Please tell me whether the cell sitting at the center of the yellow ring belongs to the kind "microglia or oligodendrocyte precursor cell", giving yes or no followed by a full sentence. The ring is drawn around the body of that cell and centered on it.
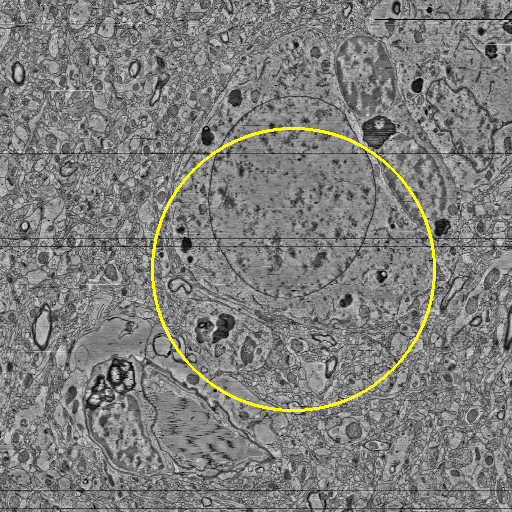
No, the cell at the center of the ring in the picture is of another kind.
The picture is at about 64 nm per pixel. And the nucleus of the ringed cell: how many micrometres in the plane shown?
In this plane, about 13 micrometres in length and 11 in width.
